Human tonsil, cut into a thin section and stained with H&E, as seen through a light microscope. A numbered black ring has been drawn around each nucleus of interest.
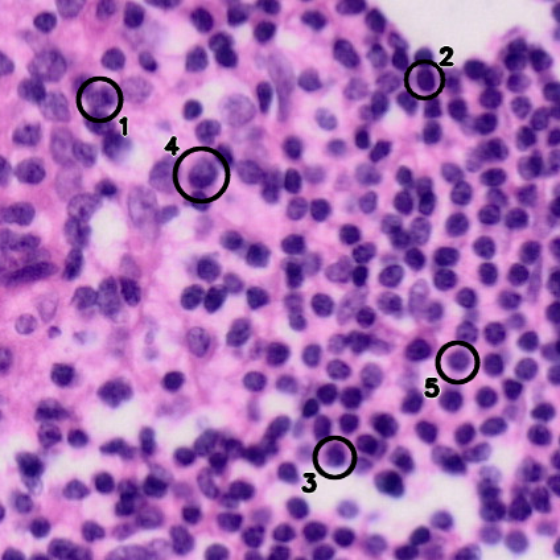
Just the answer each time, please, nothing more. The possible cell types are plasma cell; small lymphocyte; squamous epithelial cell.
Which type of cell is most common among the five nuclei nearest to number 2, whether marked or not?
small lymphocyte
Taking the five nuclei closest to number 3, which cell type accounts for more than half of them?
small lymphocyte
